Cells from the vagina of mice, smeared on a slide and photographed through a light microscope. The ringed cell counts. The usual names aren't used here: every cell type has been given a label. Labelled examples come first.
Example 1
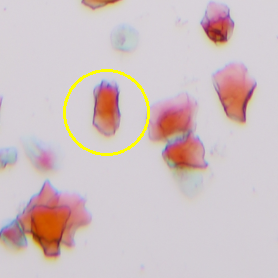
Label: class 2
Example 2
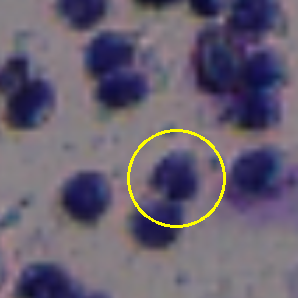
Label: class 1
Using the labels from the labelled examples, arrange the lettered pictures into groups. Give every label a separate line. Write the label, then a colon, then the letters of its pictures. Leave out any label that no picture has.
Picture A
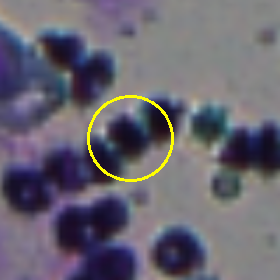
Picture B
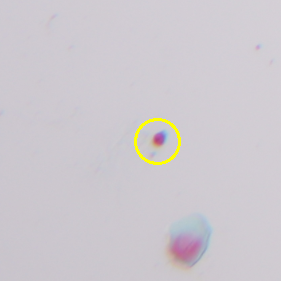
class 1: A, B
